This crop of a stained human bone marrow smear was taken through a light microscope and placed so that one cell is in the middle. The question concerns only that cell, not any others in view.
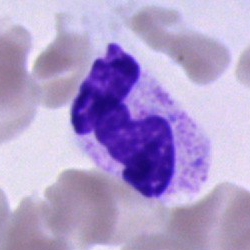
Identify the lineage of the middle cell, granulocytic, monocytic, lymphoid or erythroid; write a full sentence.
Counted among cells of the granulocytic lineage is the central cell.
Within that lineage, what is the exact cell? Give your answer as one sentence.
At the crop's centre, the cell is a segmented neutrophil.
